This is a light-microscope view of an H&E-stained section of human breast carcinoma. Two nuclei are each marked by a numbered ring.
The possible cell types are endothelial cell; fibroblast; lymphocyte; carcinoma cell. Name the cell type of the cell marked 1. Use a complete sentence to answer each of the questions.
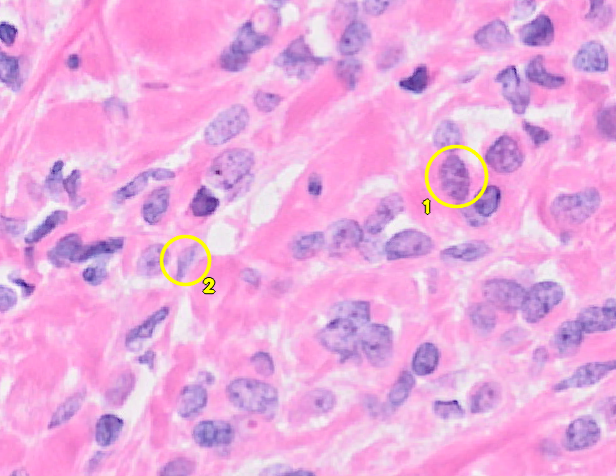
Marked with the number 1, this cell is a carcinoma cell.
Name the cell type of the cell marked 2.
The nucleus labelled 2 belongs to a fibroblast.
